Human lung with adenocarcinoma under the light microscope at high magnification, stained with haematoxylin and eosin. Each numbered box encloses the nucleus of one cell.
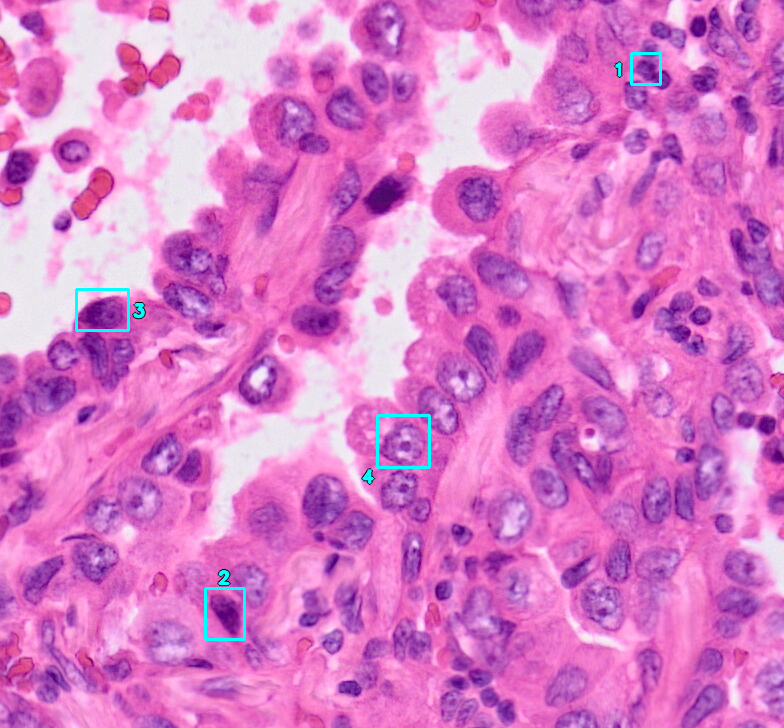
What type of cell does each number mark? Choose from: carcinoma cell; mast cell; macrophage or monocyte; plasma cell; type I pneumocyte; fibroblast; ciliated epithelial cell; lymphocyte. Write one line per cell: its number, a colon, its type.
1: lymphocyte
2: carcinoma cell
3: carcinoma cell
4: carcinoma cell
